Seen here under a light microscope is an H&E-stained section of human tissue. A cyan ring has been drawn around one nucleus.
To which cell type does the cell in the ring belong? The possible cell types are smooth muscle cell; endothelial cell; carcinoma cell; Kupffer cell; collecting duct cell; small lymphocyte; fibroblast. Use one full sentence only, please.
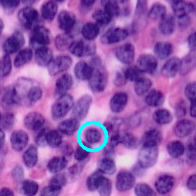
In the context of this tissue, the cell in the ring is a small lymphocyte.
